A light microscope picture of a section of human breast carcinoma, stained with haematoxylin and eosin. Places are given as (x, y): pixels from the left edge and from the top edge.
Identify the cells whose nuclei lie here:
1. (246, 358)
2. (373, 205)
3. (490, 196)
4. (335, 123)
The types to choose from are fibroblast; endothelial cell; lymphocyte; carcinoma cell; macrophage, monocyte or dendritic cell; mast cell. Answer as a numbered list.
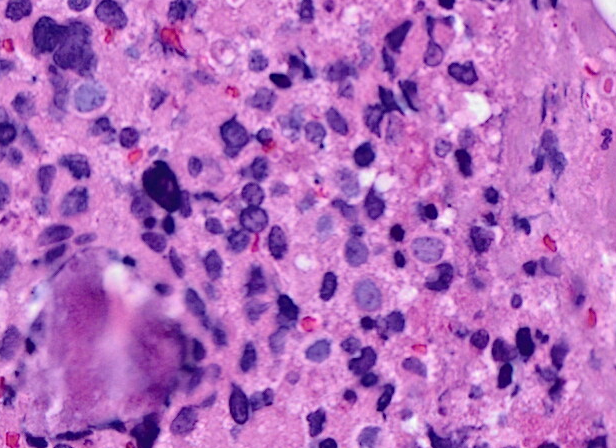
1. carcinoma cell
2. carcinoma cell
3. lymphocyte
4. carcinoma cell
